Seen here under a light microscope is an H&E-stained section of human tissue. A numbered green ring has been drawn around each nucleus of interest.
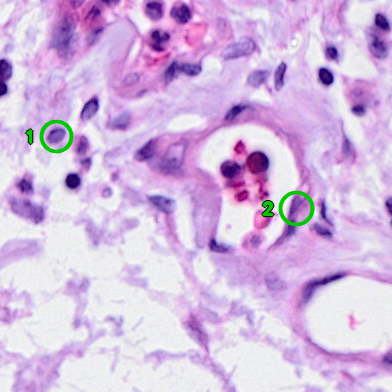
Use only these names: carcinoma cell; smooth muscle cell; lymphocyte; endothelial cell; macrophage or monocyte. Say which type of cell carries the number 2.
endothelial cell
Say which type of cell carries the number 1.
lymphocyte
